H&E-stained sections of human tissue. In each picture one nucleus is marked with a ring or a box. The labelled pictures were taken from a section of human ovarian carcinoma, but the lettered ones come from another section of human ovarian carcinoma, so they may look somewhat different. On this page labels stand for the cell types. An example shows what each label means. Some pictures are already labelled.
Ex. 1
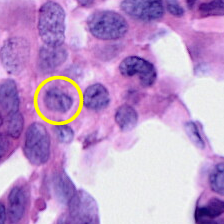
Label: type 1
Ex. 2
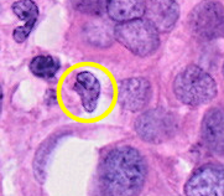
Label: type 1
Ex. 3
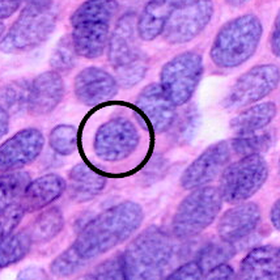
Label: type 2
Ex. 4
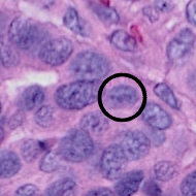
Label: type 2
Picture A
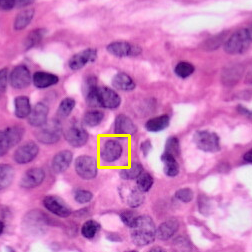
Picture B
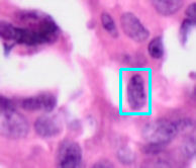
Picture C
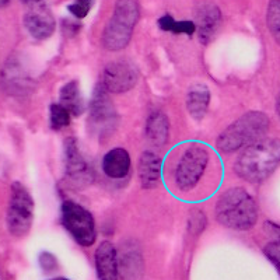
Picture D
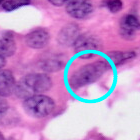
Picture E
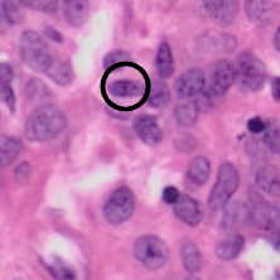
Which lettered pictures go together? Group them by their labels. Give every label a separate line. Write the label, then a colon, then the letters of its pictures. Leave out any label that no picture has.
type 1: A, B, E
type 2: C, D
